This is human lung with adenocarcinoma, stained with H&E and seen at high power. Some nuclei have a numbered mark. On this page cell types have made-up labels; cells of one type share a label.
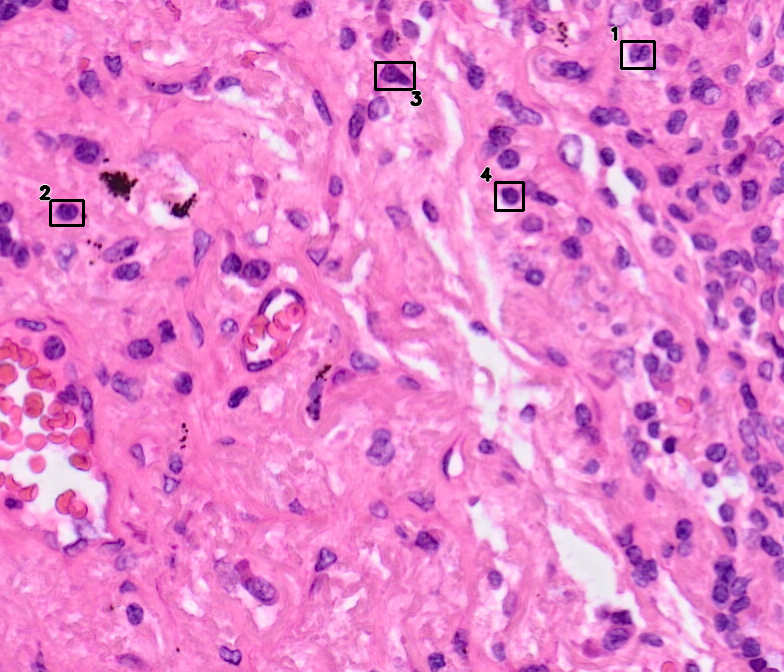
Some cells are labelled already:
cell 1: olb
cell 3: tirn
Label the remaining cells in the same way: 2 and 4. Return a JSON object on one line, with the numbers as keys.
{"2": "olb", "4": "olb"}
